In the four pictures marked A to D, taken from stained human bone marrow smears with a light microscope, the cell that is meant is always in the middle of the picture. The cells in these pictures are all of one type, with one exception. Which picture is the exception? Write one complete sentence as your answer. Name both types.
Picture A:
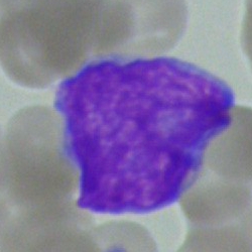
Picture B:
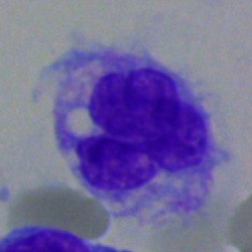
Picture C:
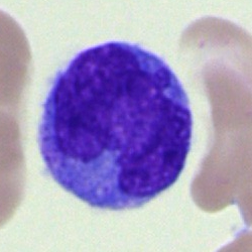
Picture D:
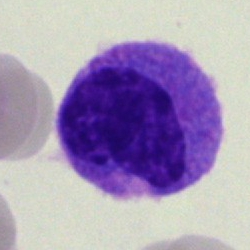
Picture A is the odd one out: it shows a blast, while the others show monocytes.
